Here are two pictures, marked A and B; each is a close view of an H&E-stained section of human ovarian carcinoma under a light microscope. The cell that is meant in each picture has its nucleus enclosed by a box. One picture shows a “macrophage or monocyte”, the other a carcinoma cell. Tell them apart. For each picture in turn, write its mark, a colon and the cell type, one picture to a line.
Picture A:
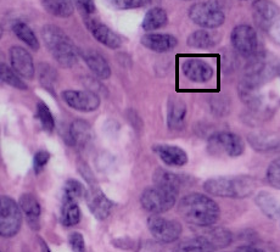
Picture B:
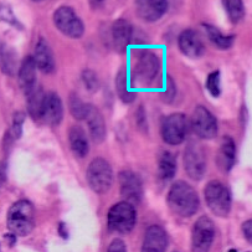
A: macrophage or monocyte
B: carcinoma cell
